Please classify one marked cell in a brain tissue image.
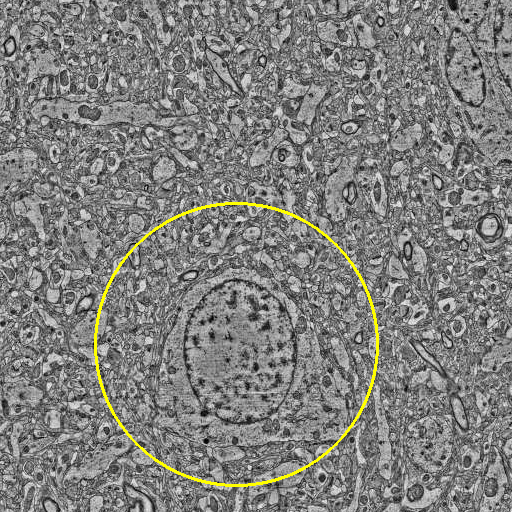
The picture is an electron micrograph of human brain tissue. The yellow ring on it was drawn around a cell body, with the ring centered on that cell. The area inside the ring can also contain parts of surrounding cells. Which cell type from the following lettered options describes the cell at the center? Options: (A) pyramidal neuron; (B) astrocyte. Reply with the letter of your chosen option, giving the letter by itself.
A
